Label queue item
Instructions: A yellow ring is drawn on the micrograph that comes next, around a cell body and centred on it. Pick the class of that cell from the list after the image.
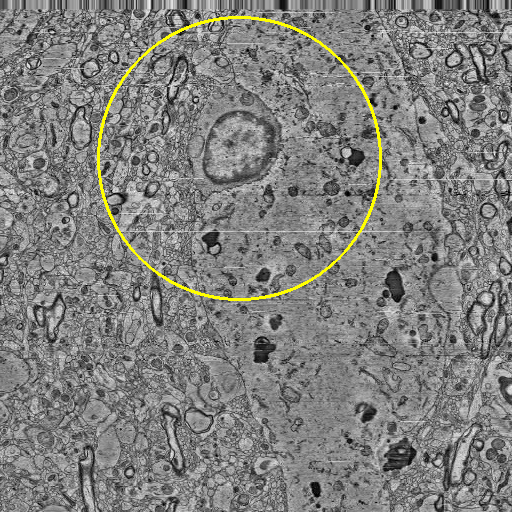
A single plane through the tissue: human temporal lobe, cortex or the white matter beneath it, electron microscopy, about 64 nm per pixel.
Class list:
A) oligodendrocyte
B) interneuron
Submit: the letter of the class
A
